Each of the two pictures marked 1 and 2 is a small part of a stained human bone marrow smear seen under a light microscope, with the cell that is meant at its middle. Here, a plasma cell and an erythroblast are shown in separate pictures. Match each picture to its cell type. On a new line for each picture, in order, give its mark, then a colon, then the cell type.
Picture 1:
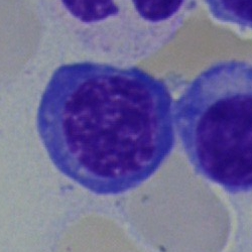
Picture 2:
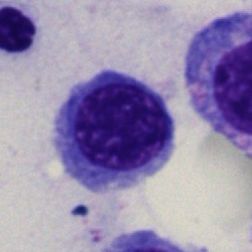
1: plasma cell
2: erythroblast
